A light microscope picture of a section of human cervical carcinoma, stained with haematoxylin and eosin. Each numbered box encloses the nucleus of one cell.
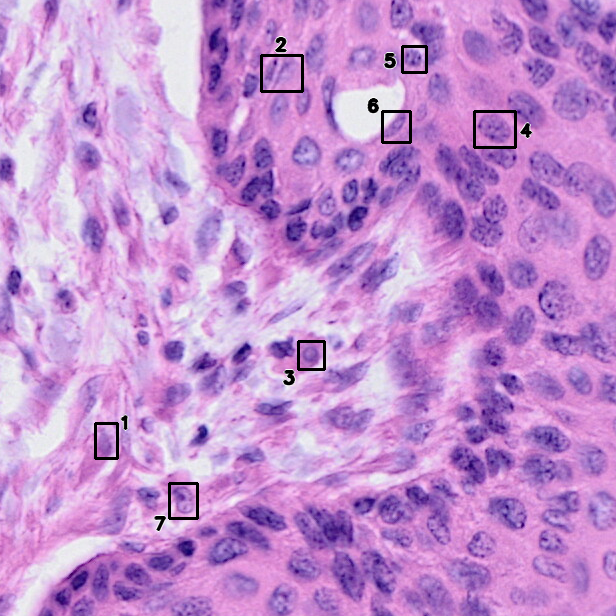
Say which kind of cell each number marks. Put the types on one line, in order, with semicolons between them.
fibroblast; squamous carcinoma cell; macrophage or monocyte; squamous carcinoma cell; squamous carcinoma cell; squamous carcinoma cell; macrophage or monocyte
